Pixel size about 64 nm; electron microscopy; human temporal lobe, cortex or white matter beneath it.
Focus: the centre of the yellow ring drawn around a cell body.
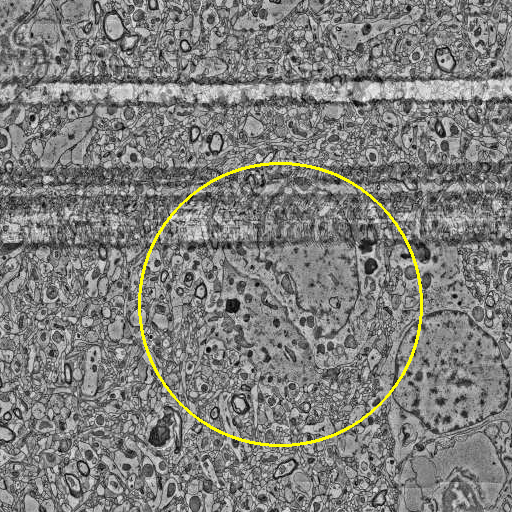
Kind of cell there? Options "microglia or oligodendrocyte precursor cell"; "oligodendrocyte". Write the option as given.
oligodendrocyte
